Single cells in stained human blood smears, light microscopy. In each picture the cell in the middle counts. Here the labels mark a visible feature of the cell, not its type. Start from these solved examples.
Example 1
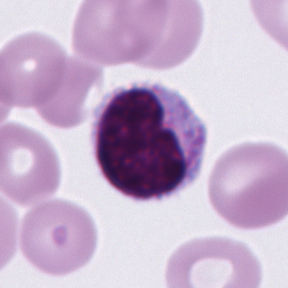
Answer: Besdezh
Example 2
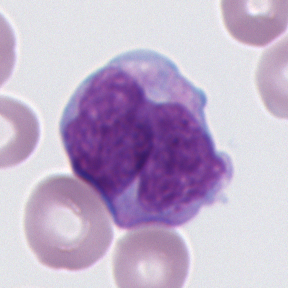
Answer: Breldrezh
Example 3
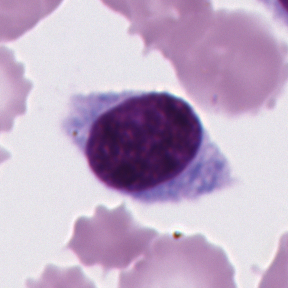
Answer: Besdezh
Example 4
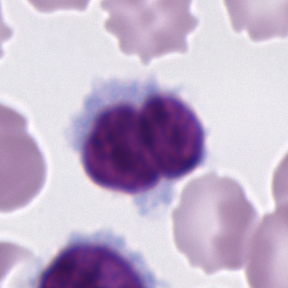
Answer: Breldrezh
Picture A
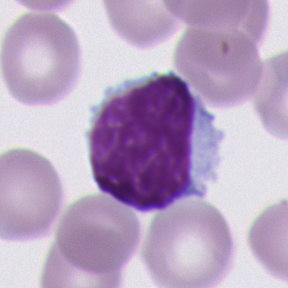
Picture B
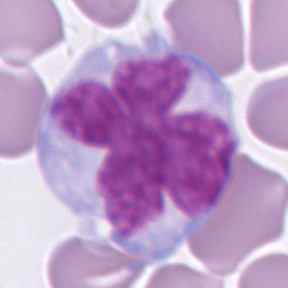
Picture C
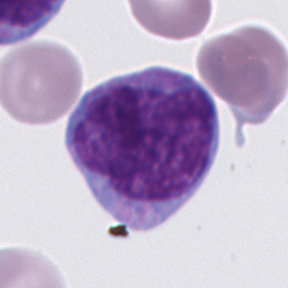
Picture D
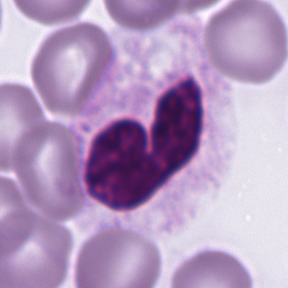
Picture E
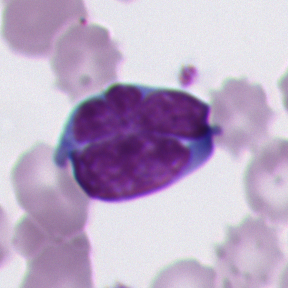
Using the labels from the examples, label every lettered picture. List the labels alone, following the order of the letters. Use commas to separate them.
Besdezh, Breldrezh, Besdezh, Besdezh, Breldrezh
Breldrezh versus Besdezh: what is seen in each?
Breldrezh: lobed nucleus; Besdezh: single compact nucleus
